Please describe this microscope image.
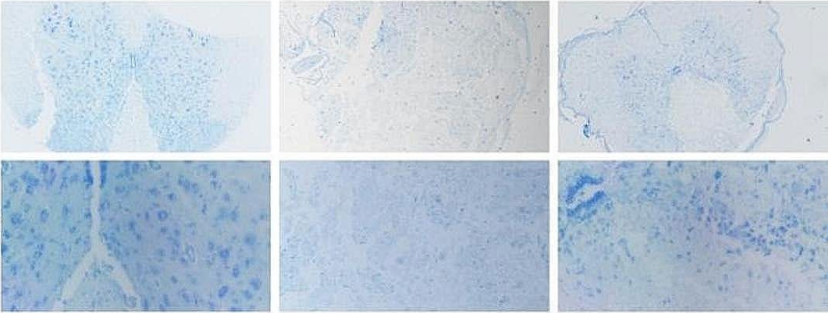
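These are cross-sections of spinal cord stained blue, in which neurons show as dark blue cell bodies in the grey matter. At low power the leftmost section shows the butterfly-shaped grey matter speckled with many darkly stained cell bodies around a central midline. In the middle images the tissue is pale and washed out, with very few distinct dark cell bodies, indicating loss of neurons. The right images show an intermediate picture, with clusters of dark blue cell bodies again present in parts of the section.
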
